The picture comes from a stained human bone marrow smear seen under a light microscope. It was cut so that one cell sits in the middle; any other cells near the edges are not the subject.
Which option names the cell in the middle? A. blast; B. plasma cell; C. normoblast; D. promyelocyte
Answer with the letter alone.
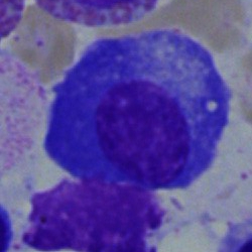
B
